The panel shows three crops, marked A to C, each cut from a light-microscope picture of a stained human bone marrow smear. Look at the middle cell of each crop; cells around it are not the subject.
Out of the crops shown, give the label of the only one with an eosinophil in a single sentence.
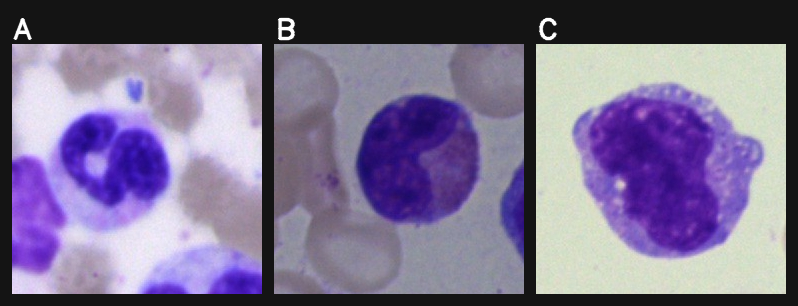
It is in crop B that an eosinophil is shown.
